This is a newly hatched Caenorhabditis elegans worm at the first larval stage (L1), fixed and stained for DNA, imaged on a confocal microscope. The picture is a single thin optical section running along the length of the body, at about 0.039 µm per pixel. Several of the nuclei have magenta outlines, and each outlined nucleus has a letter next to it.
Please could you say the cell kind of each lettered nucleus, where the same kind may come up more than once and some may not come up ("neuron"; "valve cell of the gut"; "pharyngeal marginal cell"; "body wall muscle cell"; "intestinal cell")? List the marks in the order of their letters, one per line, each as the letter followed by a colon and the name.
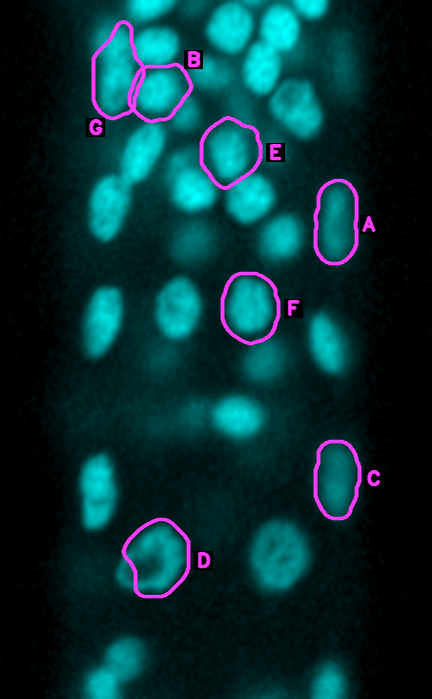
A: body wall muscle cell
B: neuron
C: body wall muscle cell
D: intestinal cell
E: neuron
F: pharyngeal marginal cell
G: body wall muscle cell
